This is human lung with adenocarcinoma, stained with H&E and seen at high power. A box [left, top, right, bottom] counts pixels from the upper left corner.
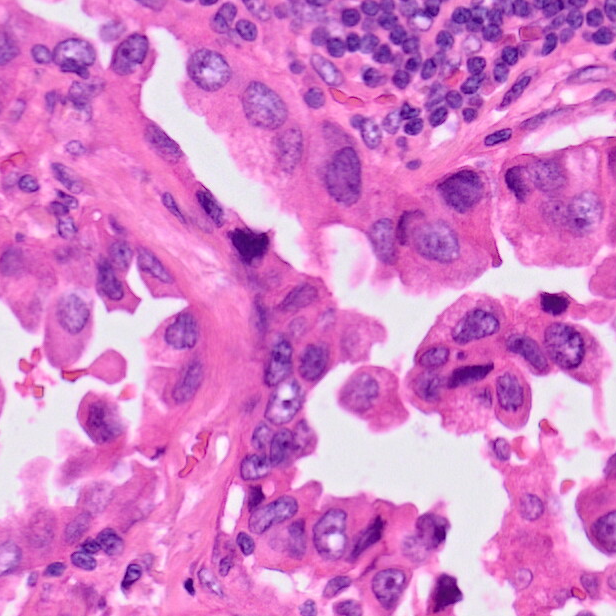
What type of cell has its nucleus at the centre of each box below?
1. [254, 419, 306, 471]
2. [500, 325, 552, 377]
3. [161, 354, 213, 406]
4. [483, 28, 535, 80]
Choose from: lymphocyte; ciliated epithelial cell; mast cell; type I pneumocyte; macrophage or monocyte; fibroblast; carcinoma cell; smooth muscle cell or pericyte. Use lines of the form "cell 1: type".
cell 1: carcinoma cell
cell 2: carcinoma cell
cell 3: carcinoma cell
cell 4: lymphocyte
